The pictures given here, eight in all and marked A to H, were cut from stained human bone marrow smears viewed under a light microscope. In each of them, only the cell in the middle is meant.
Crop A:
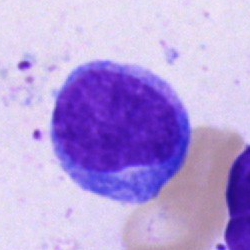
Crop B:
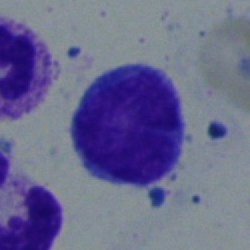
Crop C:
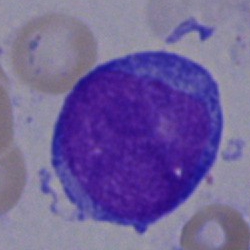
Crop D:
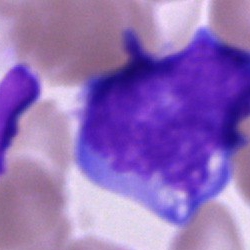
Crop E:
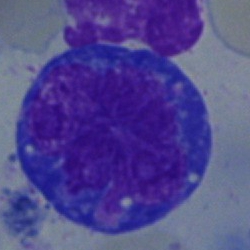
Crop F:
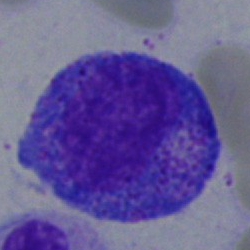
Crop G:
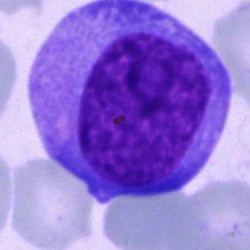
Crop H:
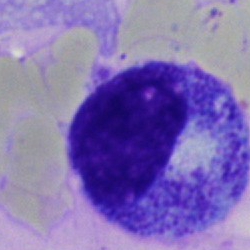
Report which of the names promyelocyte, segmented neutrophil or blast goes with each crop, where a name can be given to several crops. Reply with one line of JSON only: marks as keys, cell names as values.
{"A": "blast", "B": "blast", "C": "blast", "D": "blast", "E": "blast", "F": "promyelocyte", "G": "blast", "H": "promyelocyte"}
